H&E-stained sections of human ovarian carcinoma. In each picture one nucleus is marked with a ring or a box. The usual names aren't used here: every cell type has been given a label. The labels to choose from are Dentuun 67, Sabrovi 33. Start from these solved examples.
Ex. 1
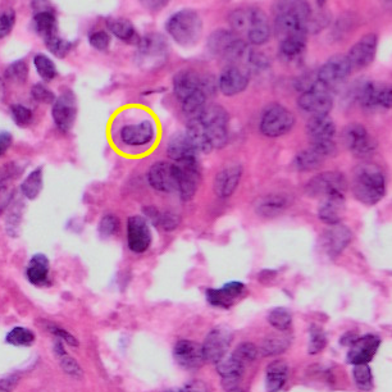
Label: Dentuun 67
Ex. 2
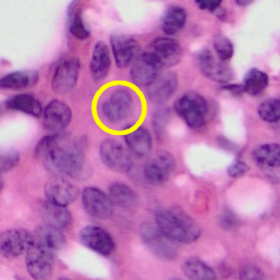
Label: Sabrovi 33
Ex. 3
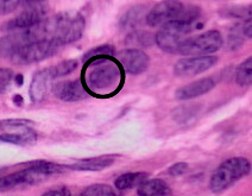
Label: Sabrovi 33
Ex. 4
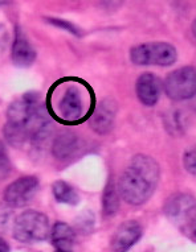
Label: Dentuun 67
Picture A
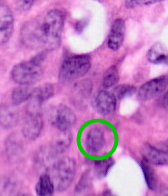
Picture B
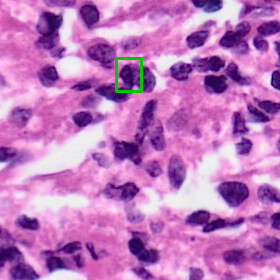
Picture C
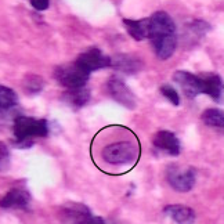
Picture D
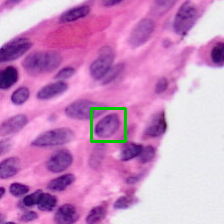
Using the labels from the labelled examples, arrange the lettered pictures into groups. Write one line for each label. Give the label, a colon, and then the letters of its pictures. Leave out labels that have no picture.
Dentuun 67: C, D
Sabrovi 33: A, B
